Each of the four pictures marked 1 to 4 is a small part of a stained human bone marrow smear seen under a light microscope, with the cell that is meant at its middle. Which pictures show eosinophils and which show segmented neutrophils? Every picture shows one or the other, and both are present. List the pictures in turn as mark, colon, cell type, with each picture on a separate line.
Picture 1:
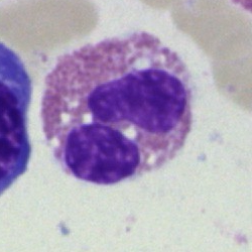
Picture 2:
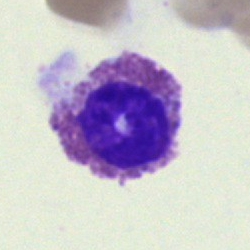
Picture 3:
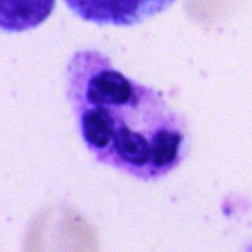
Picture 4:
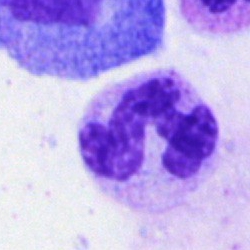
1: eosinophil
2: eosinophil
3: segmented neutrophil
4: segmented neutrophil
